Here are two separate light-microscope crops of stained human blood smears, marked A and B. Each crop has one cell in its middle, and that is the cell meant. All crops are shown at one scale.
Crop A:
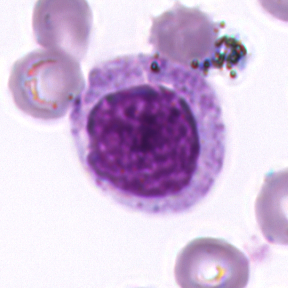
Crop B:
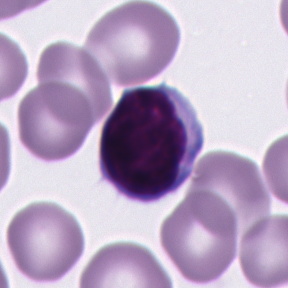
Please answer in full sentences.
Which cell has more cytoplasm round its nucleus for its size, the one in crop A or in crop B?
In crop A the nucleus takes up the smaller part of its cell.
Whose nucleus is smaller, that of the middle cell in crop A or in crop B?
It is the nucleus in crop B; the one in crop A has about 1.5 times its area.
